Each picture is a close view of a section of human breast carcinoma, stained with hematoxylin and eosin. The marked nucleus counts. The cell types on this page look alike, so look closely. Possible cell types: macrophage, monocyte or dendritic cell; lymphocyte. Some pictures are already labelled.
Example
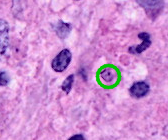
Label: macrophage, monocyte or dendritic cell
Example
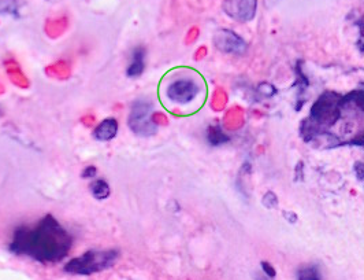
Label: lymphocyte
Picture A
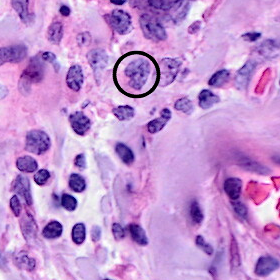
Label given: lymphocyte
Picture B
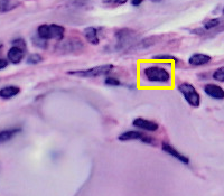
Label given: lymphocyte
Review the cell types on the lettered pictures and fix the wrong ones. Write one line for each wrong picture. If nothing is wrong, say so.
Wrong: A (lymphocyte); correct: macrophage, monocyte or dendritic cell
